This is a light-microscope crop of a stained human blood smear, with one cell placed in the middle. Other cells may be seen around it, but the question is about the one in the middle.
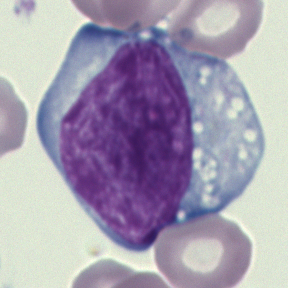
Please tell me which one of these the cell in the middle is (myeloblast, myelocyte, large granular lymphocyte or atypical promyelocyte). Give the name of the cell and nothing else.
myeloblast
